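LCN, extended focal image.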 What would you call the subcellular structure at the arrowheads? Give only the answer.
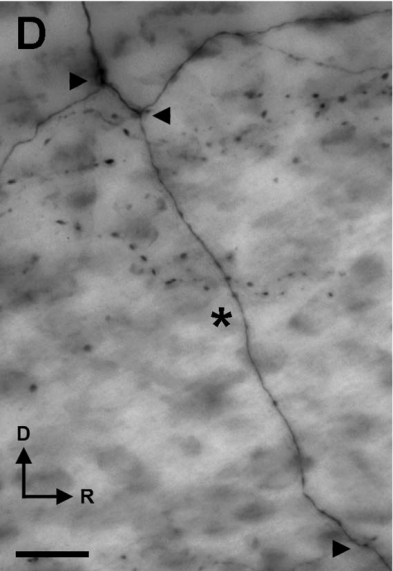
Primary branches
